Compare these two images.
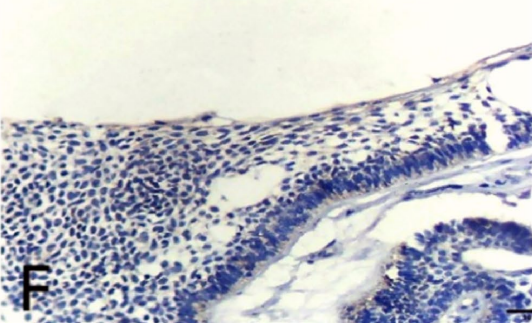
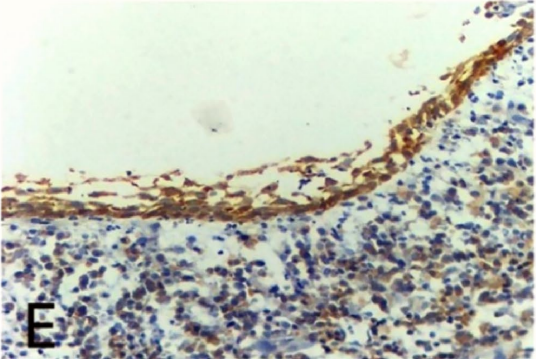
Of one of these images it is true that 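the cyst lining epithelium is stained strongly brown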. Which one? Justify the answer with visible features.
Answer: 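The second image. First image: the lining epithelium is mostly blue with only faint brown tint. Second image: the lining band of cells along the lumen is deep brown.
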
